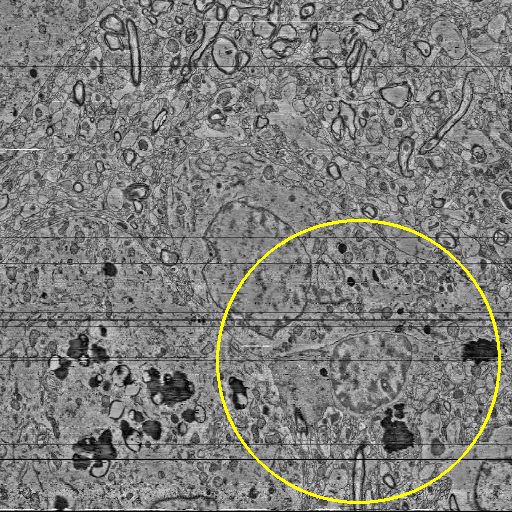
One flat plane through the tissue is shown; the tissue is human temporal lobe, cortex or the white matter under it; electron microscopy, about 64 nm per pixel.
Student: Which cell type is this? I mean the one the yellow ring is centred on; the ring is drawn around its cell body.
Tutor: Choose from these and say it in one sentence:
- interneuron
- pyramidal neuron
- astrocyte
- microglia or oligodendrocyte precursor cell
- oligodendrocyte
The cell the ring is centred on is an oligodendrocyte.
